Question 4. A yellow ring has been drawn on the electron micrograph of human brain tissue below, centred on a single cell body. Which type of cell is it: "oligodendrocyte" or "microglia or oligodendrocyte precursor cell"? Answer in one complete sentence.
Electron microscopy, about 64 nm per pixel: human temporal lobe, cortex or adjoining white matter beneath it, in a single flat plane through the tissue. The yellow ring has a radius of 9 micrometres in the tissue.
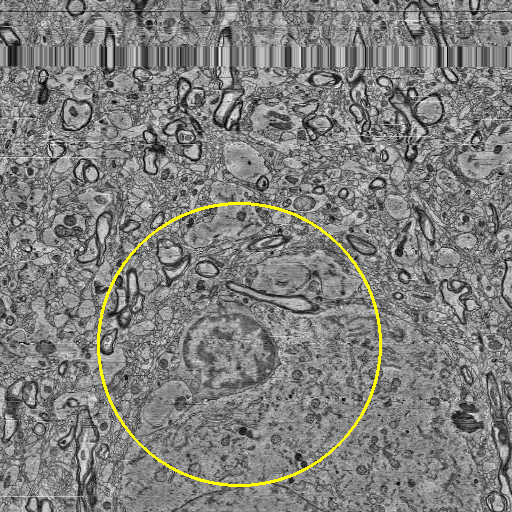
This cell body belongs to an oligodendrocyte.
